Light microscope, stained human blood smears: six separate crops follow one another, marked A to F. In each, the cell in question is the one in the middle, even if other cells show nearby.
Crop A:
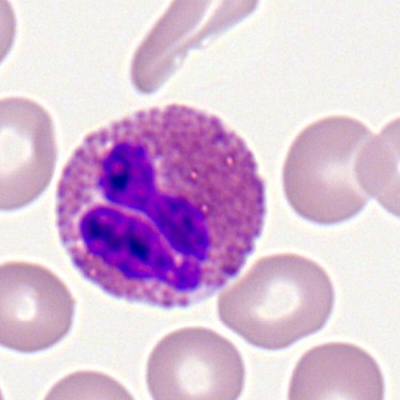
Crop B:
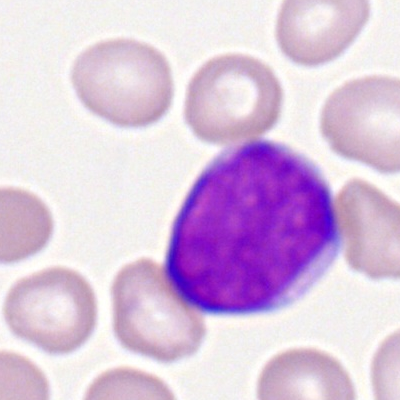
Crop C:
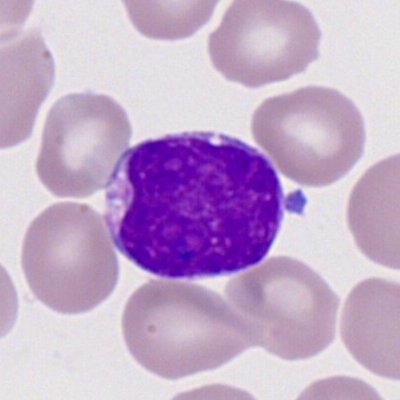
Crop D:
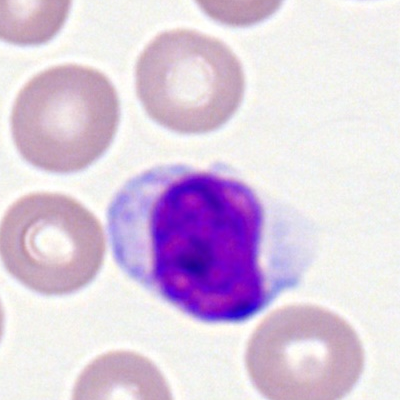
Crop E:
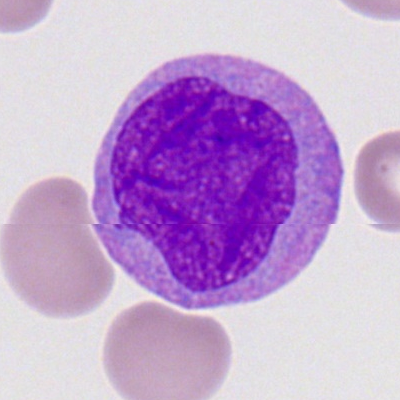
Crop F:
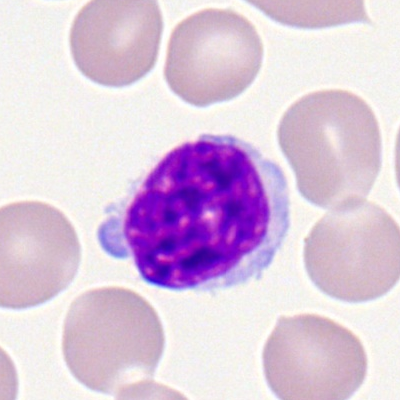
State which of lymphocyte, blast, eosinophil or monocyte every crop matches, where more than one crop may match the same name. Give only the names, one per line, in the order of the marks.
eosinophil
blast
blast
lymphocyte
blast
lymphocyte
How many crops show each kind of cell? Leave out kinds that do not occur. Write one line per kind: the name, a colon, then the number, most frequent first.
blast: 3
lymphocyte: 2
eosinophil: 1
